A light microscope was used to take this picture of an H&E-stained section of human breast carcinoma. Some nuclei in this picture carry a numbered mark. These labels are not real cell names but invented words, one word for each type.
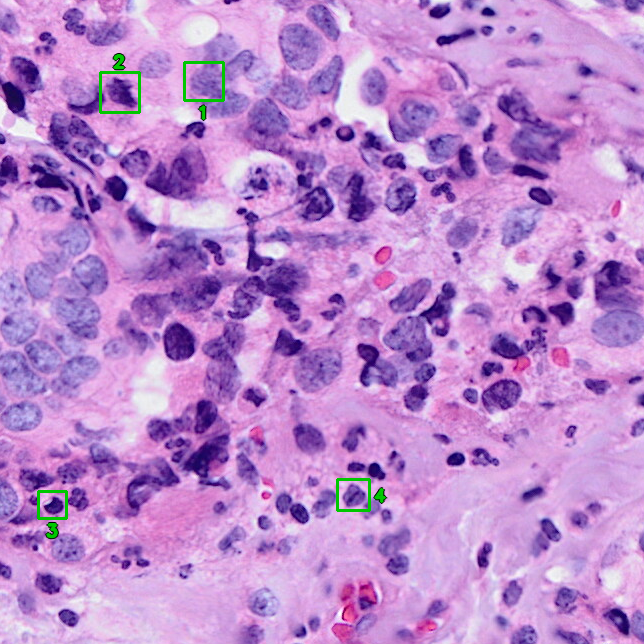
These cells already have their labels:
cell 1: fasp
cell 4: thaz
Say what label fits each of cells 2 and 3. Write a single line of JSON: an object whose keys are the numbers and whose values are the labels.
{"2": "fasp", "3": "thaz"}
